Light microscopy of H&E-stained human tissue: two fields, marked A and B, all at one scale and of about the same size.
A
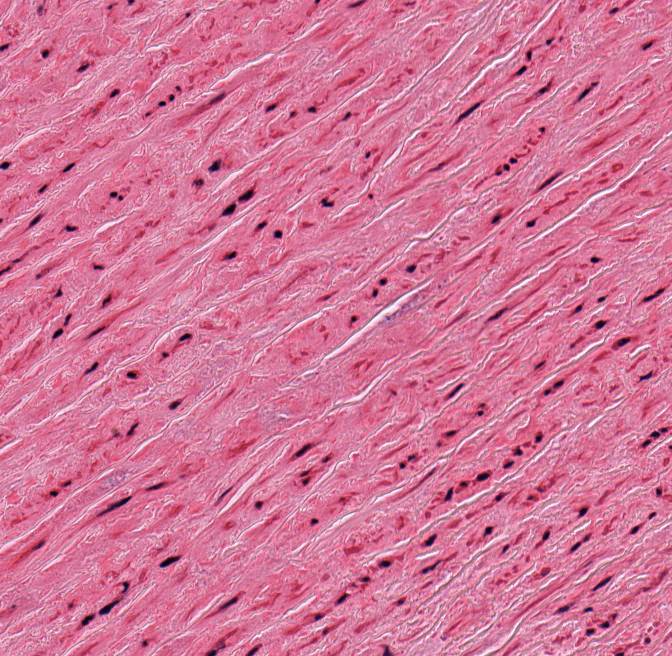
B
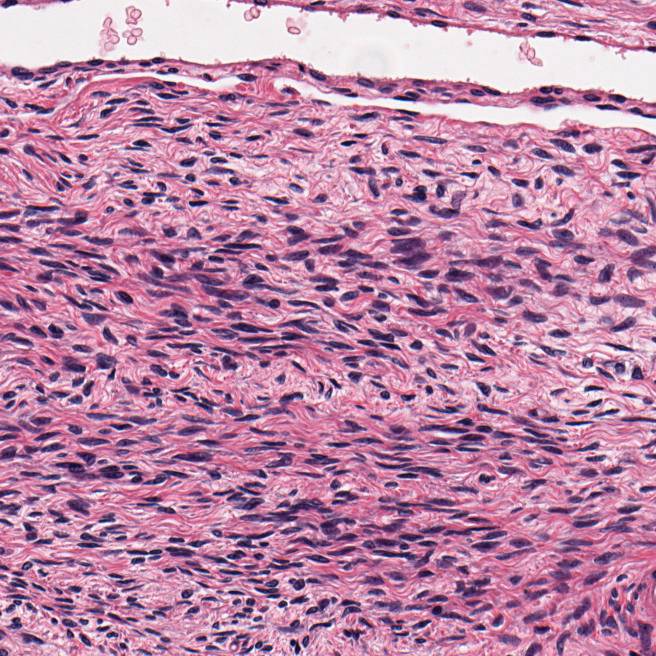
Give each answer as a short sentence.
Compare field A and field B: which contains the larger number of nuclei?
It is field B that has more nuclei in it.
